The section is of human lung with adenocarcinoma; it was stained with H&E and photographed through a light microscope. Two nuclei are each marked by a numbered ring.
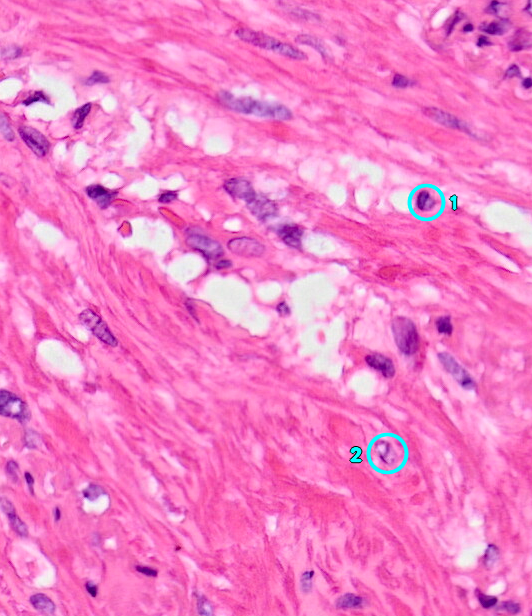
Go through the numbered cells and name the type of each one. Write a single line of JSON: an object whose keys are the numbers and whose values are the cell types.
{"1": "mast cell", "2": "smooth muscle cell or pericyte"}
